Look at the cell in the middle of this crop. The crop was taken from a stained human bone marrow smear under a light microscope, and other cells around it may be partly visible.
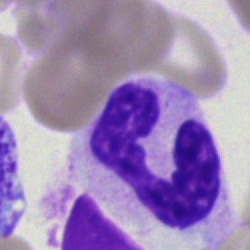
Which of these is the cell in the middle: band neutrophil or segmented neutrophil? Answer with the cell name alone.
segmented neutrophil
